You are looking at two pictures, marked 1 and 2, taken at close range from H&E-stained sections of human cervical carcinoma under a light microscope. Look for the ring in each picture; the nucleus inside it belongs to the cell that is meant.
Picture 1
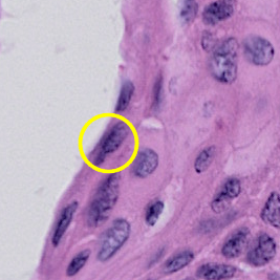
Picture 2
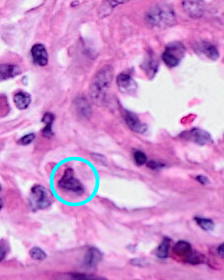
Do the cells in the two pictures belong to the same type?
no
